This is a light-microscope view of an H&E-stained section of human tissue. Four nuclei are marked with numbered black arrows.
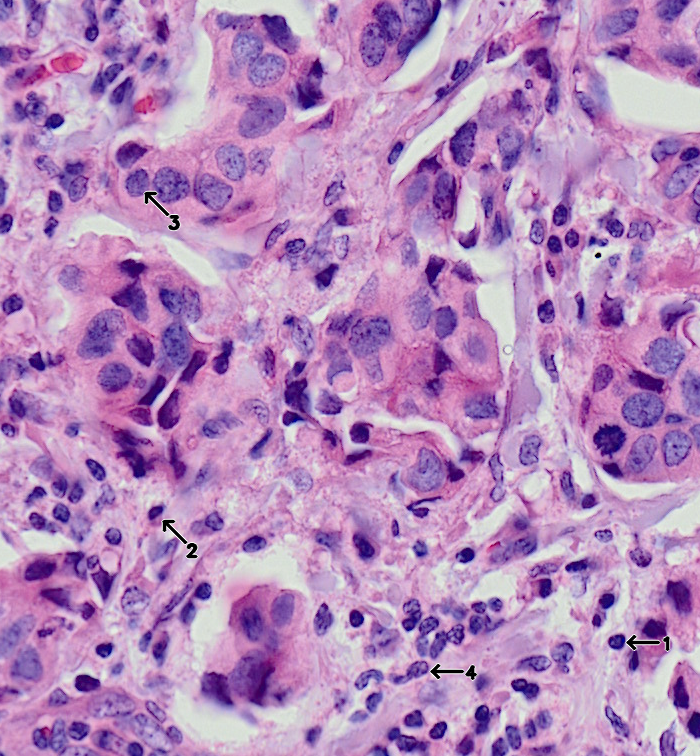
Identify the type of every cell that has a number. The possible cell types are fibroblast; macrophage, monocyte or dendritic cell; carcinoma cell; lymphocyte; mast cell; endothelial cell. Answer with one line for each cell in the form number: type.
1: lymphocyte
2: lymphocyte
3: carcinoma cell
4: lymphocyte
